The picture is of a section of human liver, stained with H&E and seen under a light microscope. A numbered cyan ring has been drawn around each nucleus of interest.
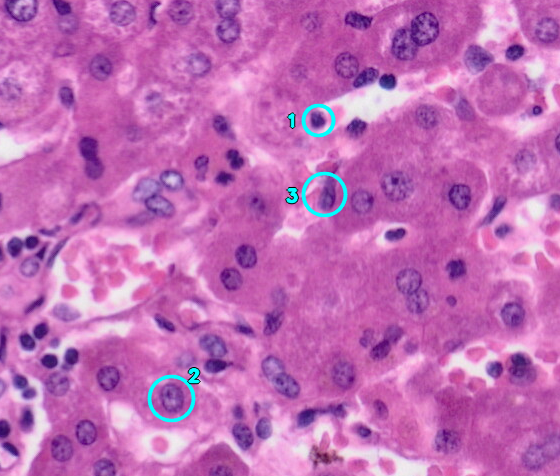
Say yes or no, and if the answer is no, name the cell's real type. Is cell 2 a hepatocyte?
Yes.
